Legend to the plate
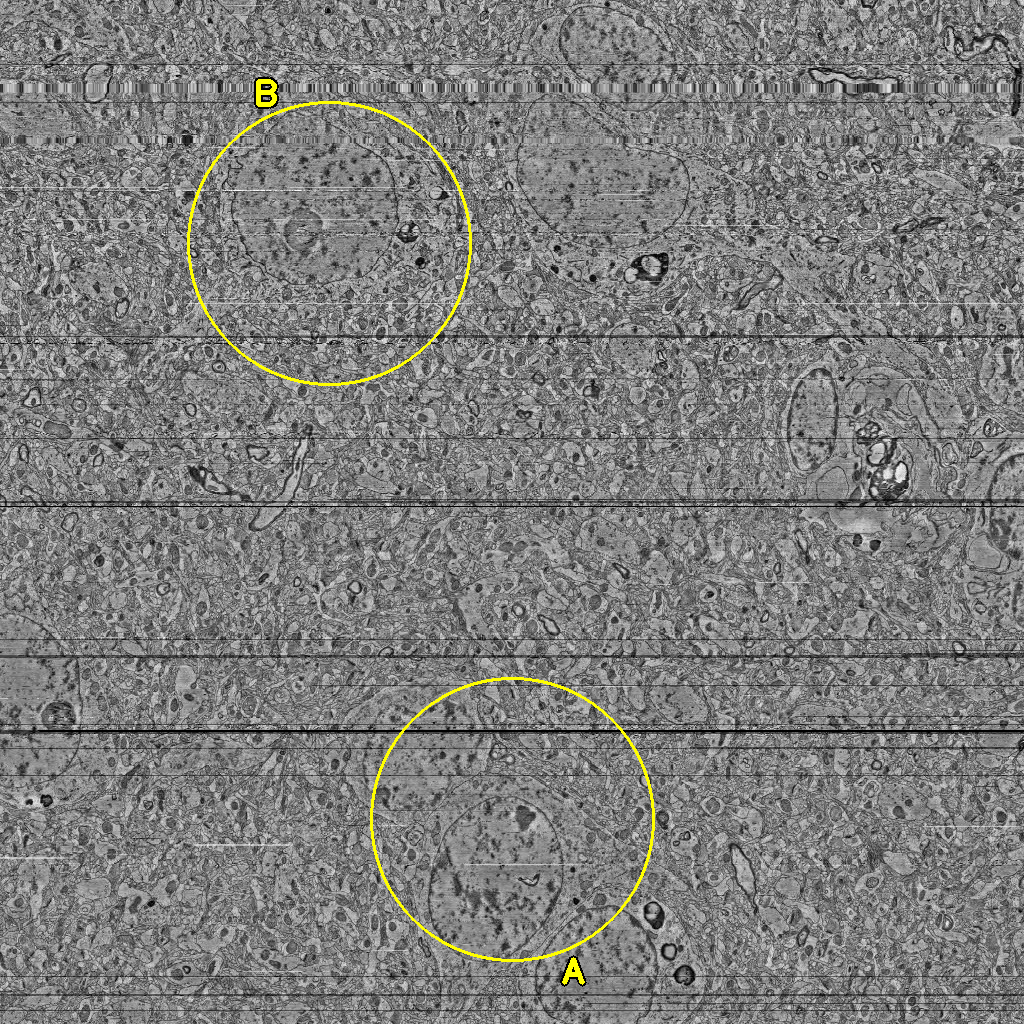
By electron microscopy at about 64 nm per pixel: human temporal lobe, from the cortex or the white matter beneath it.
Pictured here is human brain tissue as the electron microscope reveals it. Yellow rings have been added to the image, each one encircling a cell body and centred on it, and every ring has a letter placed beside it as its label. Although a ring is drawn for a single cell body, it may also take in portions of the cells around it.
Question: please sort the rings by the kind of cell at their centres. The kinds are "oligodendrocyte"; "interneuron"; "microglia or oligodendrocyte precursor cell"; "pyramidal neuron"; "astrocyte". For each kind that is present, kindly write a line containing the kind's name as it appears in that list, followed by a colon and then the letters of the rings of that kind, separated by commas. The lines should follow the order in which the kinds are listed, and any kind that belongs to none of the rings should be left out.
pyramidal neuron: A, B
